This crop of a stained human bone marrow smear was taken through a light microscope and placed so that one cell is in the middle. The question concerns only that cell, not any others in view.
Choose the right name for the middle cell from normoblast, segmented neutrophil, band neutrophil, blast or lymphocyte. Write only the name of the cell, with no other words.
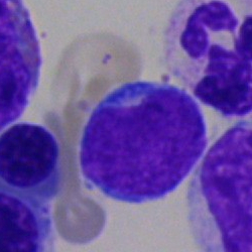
lymphocyte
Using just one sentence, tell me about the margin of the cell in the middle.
Its outline is smooth, with no projections anywhere along the edge.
